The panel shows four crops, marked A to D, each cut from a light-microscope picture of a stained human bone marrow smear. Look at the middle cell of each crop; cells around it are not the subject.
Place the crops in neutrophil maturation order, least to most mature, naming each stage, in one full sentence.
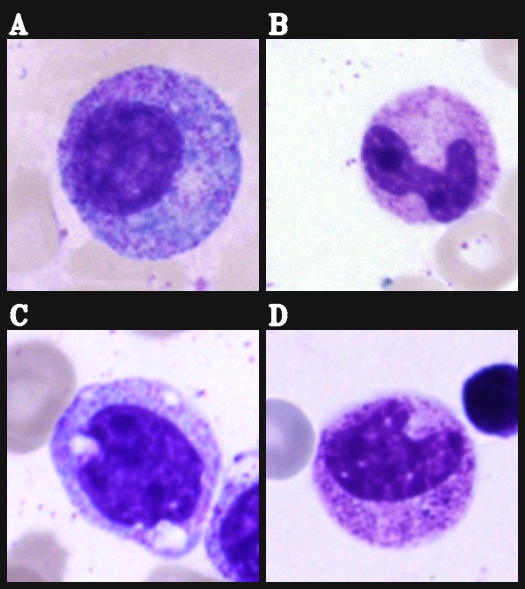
Ordering these by maturity, least mature first, yields crop A (a promyelocyte), crop C (a myelocyte), crop D (a metamyelocyte) and crop B (a segmented neutrophil).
